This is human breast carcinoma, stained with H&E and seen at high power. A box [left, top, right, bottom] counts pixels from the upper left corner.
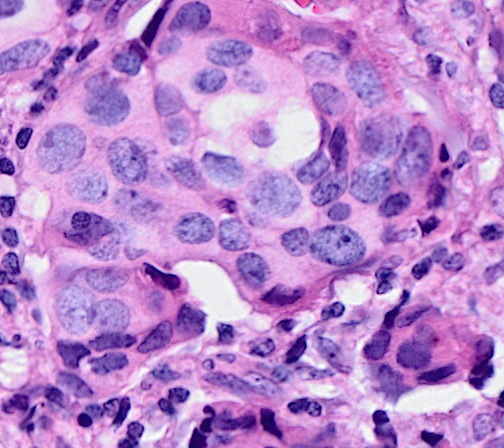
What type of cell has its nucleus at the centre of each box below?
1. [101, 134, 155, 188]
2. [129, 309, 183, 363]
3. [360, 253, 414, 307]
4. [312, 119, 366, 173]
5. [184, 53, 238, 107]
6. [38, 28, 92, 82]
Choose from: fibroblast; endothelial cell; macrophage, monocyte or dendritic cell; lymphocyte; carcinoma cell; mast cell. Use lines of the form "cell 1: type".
cell 1: carcinoma cell
cell 2: carcinoma cell
cell 3: lymphocyte
cell 4: carcinoma cell
cell 5: carcinoma cell
cell 6: lymphocyte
